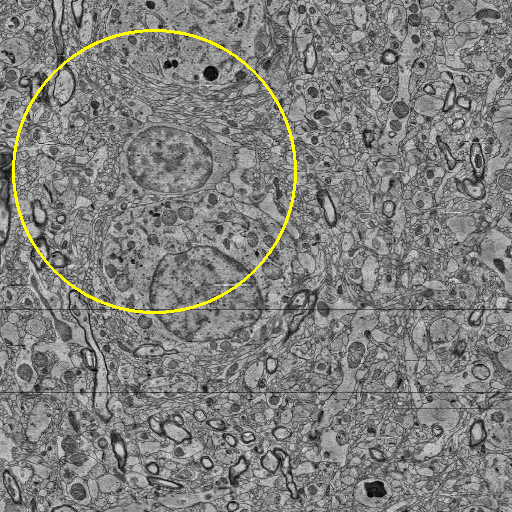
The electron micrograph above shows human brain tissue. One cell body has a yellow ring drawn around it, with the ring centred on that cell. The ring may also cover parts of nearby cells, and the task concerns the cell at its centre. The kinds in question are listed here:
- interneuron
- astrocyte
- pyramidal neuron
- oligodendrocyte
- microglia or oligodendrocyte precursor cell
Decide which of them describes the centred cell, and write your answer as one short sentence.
The centred cell is an oligodendrocyte.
